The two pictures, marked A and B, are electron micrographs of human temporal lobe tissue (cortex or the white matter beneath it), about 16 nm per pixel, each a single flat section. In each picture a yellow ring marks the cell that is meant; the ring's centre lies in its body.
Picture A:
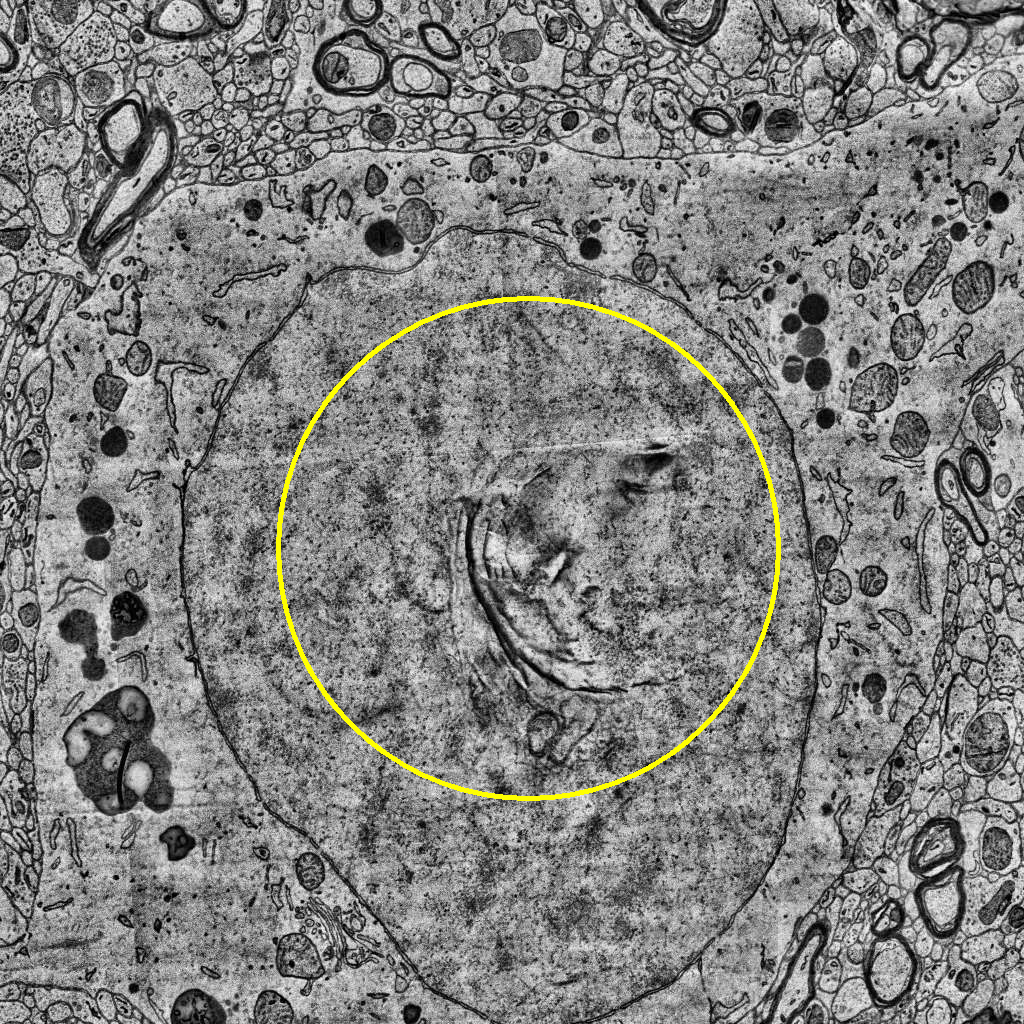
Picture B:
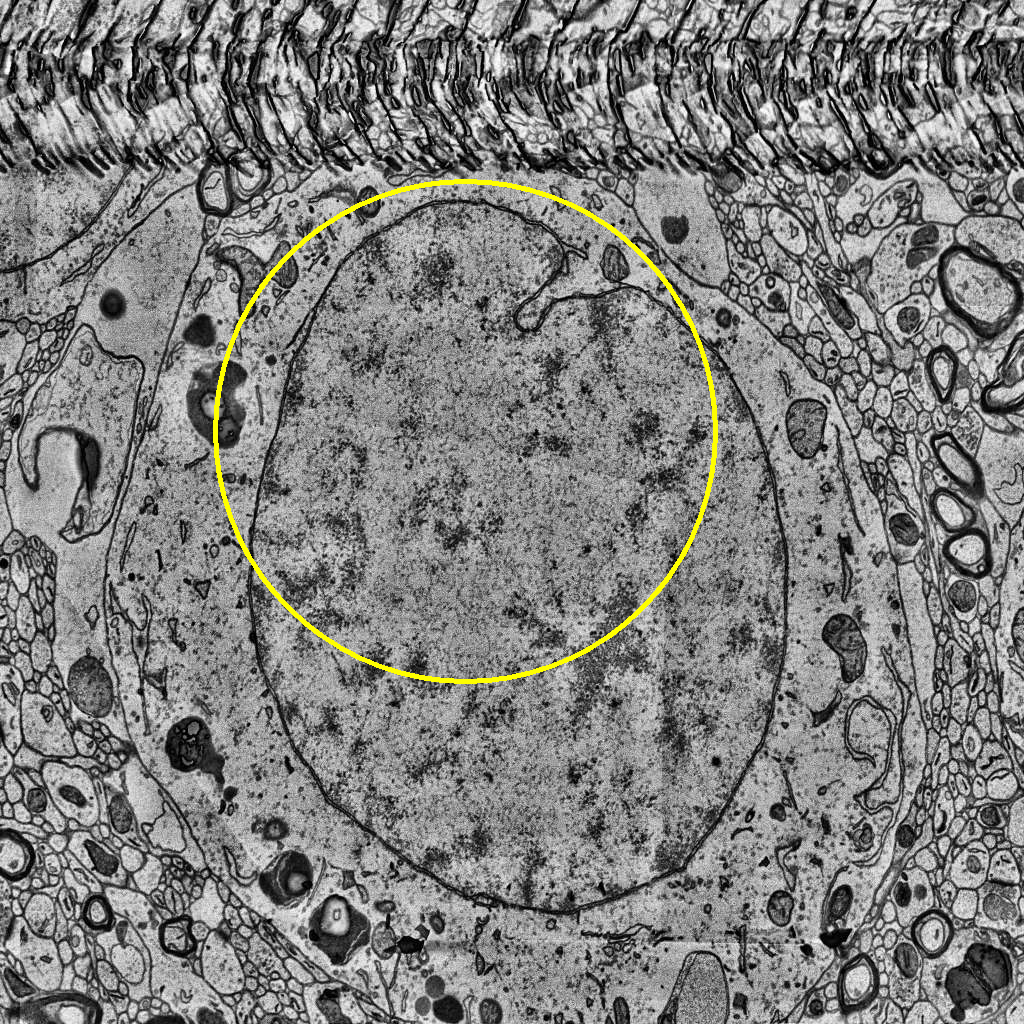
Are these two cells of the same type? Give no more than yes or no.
yes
